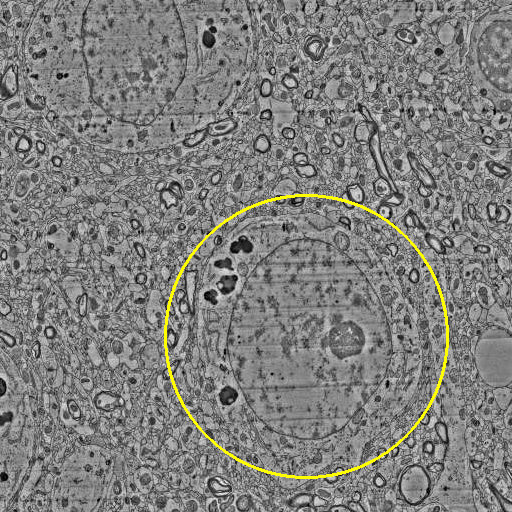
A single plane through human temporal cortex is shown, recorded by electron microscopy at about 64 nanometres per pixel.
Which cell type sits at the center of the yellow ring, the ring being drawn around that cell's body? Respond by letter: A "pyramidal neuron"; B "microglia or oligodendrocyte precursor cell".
A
